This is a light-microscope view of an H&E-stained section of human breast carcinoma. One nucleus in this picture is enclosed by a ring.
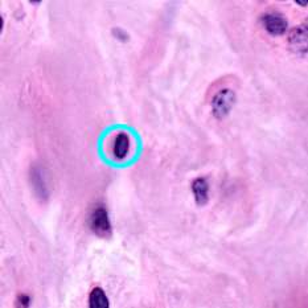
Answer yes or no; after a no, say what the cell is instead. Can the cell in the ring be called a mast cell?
No, it is a lymphocyte.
